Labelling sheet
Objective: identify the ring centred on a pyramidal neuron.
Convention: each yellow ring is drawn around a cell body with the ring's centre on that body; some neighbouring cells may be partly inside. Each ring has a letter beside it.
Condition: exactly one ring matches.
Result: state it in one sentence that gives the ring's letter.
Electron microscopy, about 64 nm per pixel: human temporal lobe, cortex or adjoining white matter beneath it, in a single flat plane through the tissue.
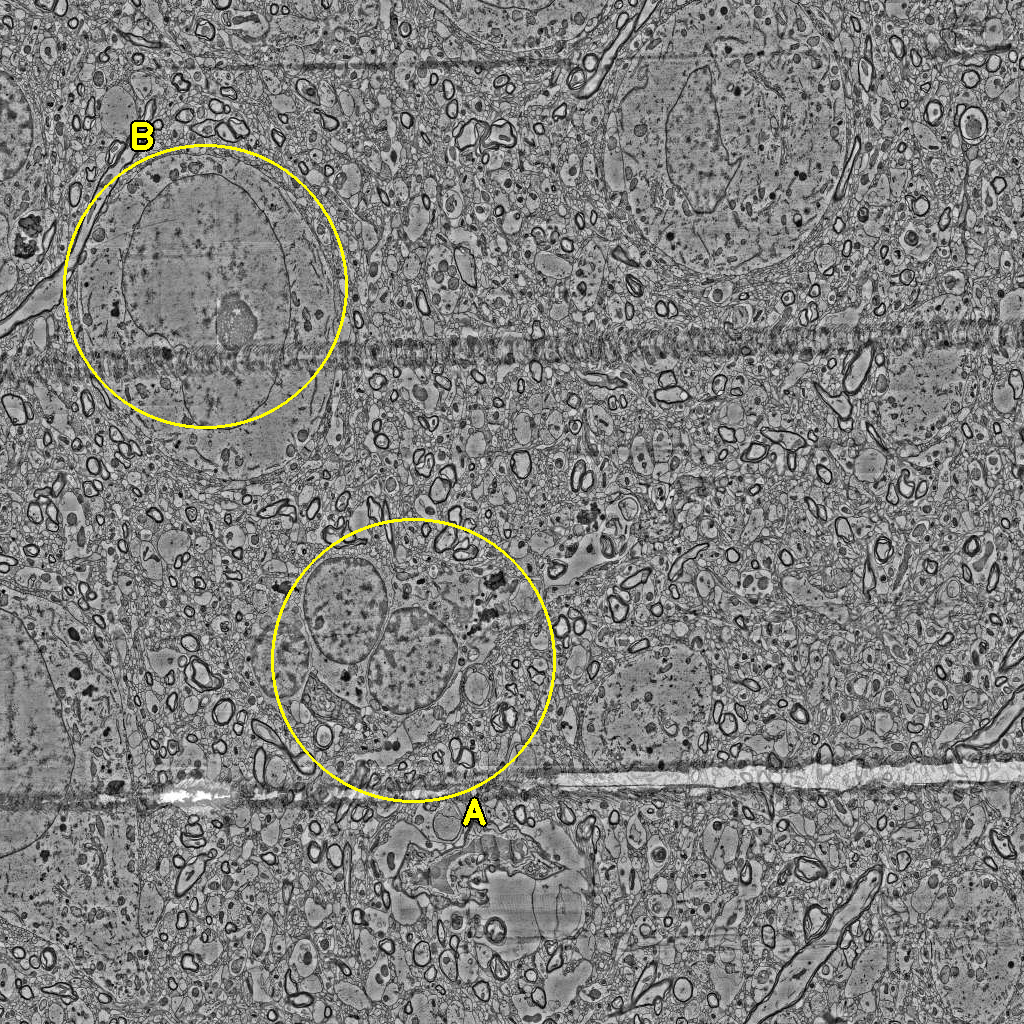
It lies at the centre of ring B.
